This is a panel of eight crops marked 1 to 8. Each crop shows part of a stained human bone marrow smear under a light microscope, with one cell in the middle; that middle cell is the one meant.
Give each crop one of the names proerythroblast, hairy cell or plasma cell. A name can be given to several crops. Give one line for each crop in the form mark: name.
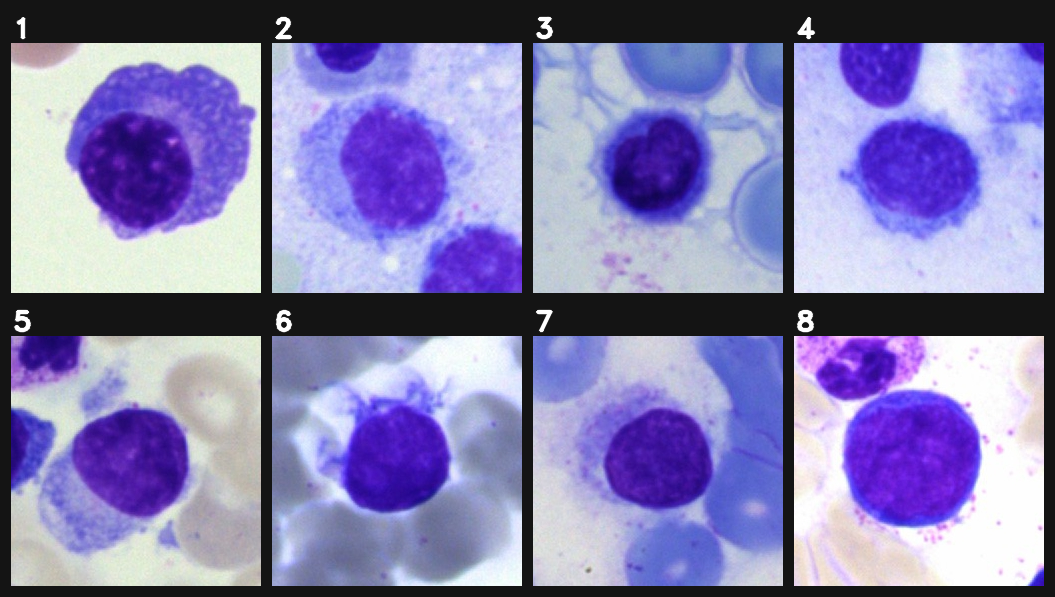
1: plasma cell
2: hairy cell
3: hairy cell
4: hairy cell
5: hairy cell
6: hairy cell
7: hairy cell
8: proerythroblast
